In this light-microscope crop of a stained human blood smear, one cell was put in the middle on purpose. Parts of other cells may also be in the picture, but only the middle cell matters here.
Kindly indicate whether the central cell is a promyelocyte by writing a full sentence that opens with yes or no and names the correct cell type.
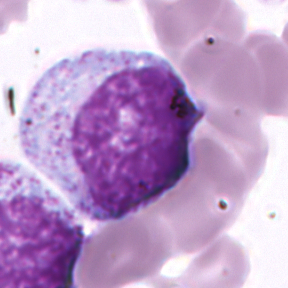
No, the cell positioned in the middle is a myelocyte, not a promyelocyte.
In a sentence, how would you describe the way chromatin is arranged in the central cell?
The chromatin is fine throughout, without coarse clumps.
